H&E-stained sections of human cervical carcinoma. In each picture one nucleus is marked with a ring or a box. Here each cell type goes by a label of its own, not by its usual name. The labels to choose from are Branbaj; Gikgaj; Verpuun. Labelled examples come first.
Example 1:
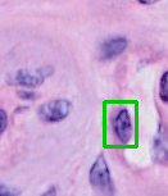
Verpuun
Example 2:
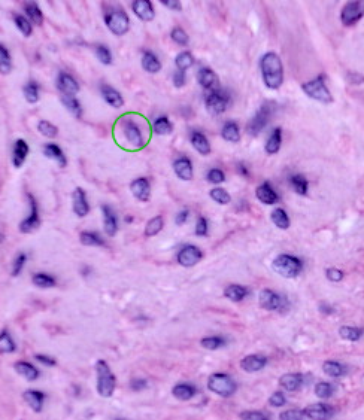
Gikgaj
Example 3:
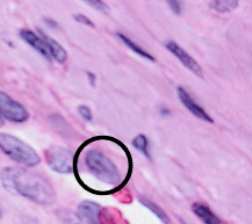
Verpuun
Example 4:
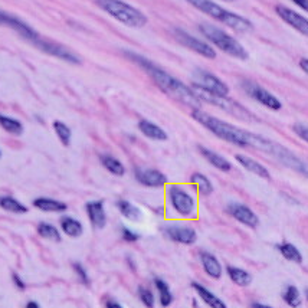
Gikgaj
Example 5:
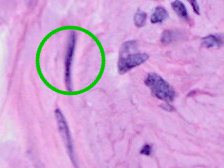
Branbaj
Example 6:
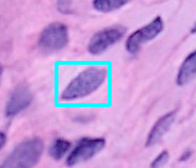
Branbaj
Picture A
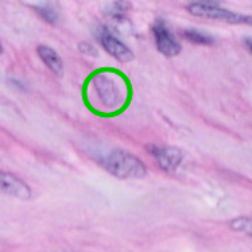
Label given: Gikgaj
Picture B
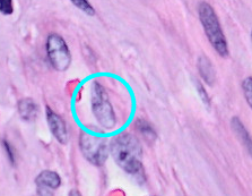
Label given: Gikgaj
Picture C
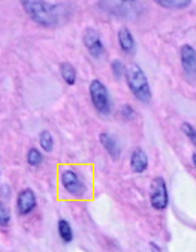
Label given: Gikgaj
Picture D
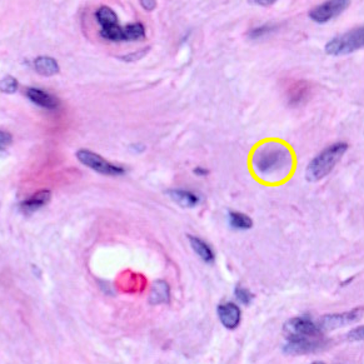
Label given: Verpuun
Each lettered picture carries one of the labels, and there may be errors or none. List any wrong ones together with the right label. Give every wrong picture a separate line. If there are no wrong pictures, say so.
B: change Gikgaj to Verpuun
D: change Verpuun to Branbaj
